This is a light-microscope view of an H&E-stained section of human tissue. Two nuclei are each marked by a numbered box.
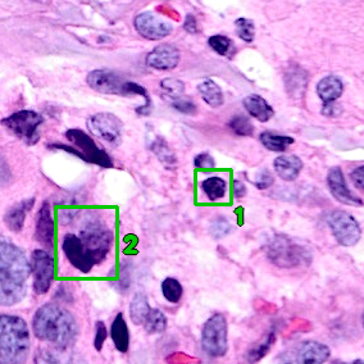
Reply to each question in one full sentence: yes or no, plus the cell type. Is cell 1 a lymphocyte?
Yes, the cell at number 1 is a lymphocyte.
